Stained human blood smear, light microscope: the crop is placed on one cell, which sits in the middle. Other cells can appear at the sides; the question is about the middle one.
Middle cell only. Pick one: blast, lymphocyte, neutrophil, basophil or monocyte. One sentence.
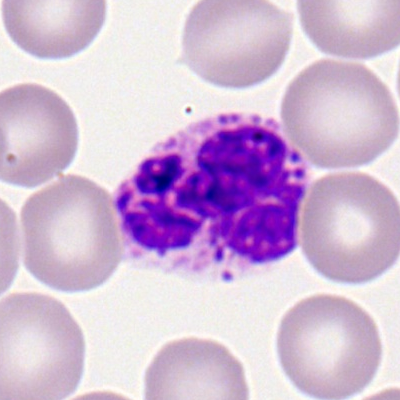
In short, the cell at the center is a basophil.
